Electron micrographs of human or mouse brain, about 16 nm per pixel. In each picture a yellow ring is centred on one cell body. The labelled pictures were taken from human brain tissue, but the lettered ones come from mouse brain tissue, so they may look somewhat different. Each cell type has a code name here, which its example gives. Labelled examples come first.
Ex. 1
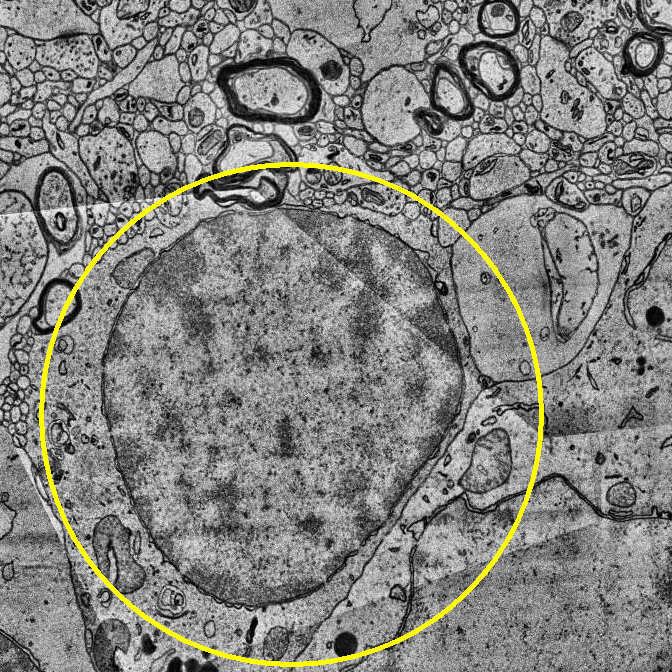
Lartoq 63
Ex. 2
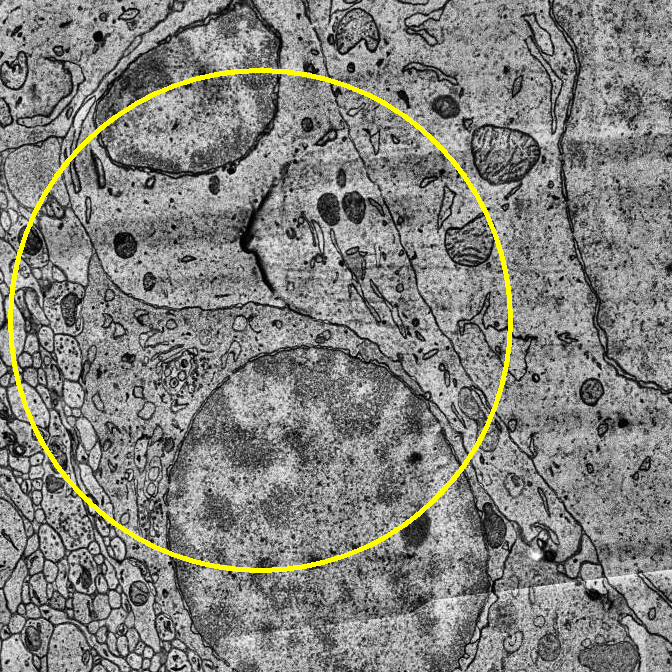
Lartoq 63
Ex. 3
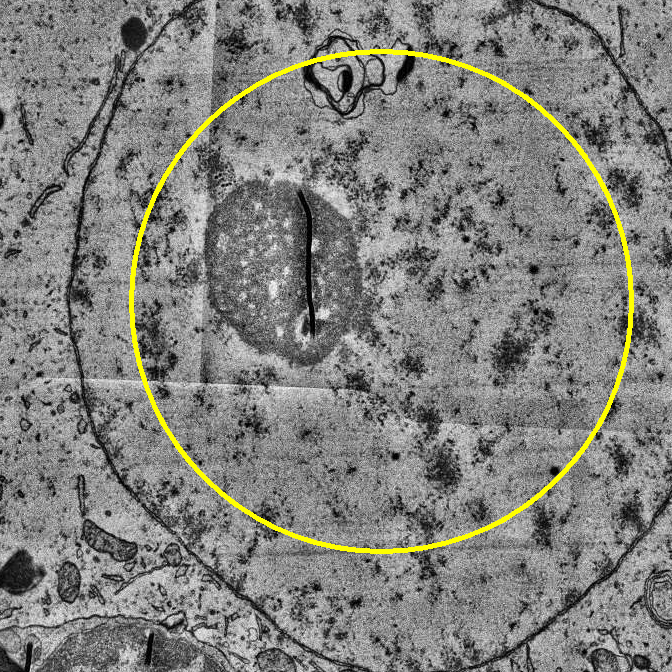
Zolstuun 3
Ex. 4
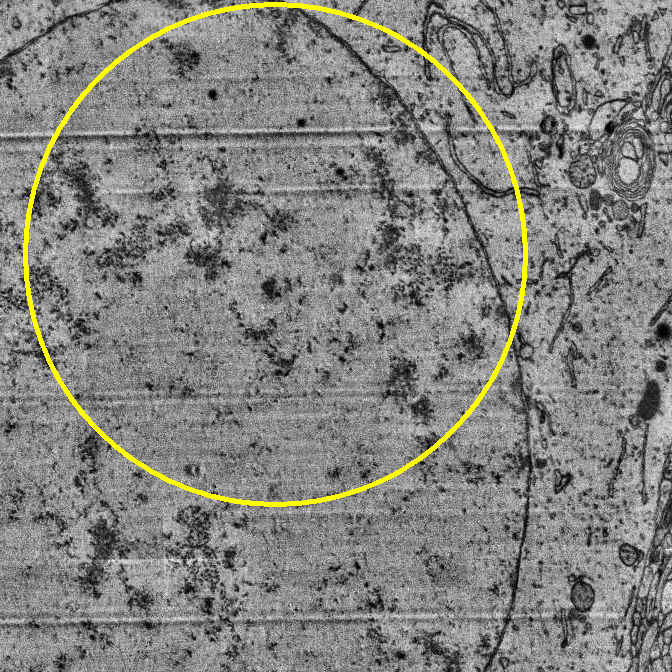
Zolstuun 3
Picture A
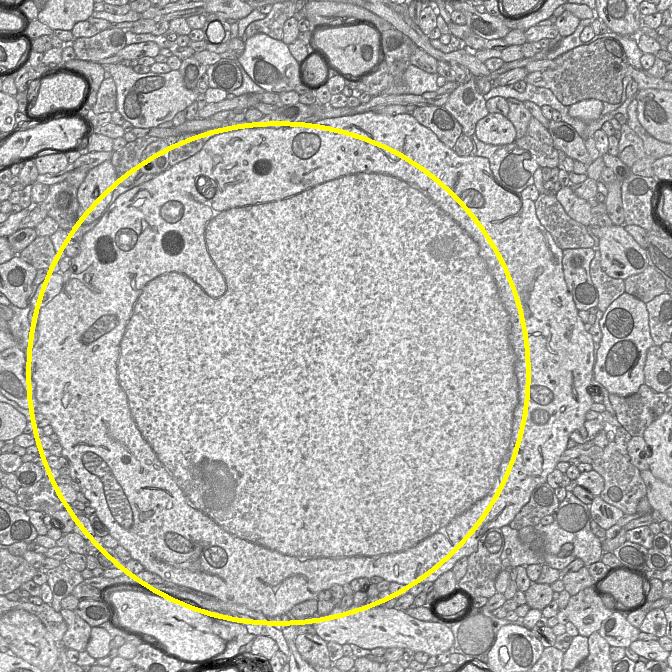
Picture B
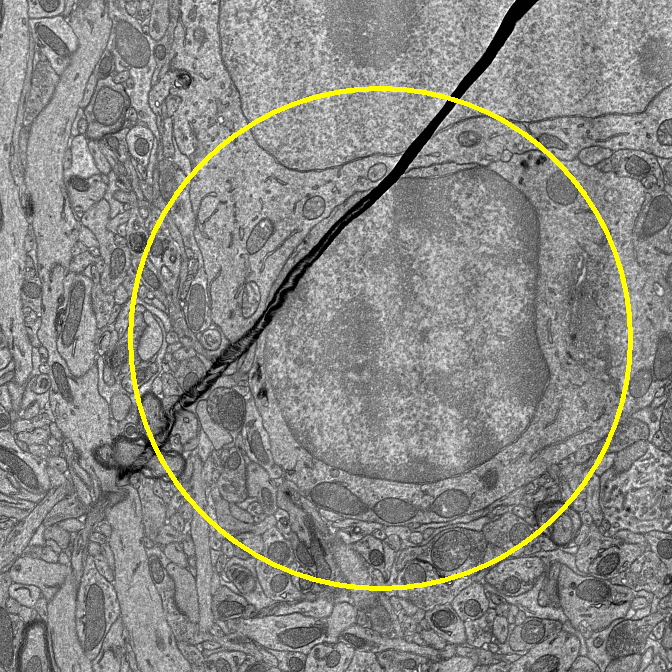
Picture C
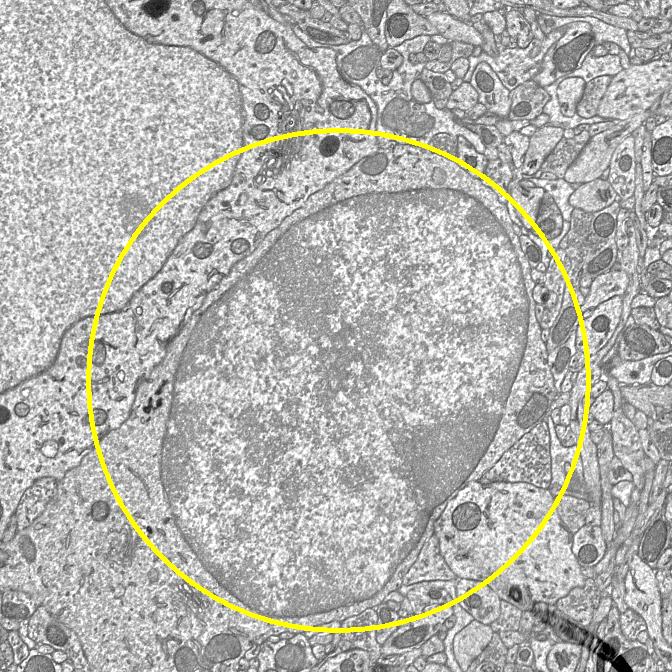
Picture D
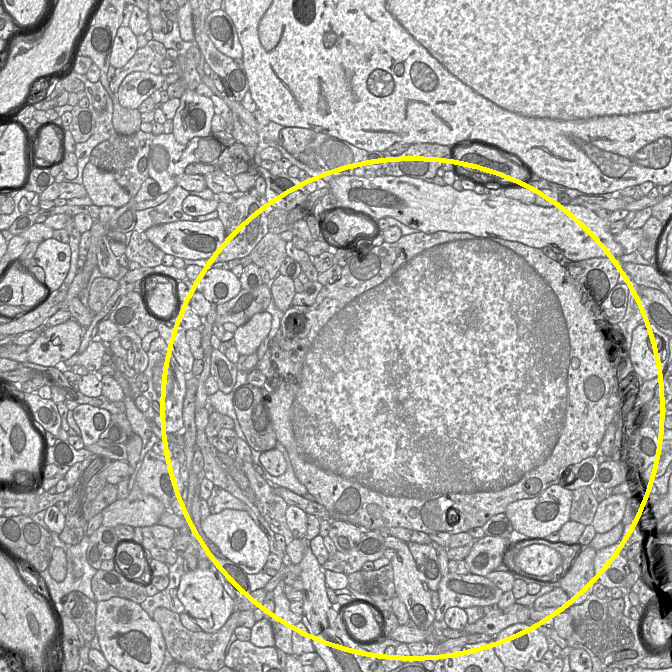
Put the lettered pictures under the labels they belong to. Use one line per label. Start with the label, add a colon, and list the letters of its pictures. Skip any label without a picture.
Lartoq 63: B, C, D
Zolstuun 3: A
